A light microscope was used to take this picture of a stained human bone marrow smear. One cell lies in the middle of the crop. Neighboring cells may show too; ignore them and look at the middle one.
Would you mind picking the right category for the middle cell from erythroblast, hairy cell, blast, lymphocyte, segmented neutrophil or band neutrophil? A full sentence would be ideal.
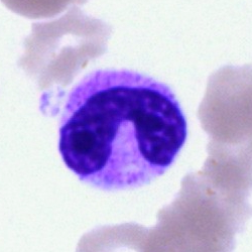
In the middle of this smear crop is a segmented neutrophil.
